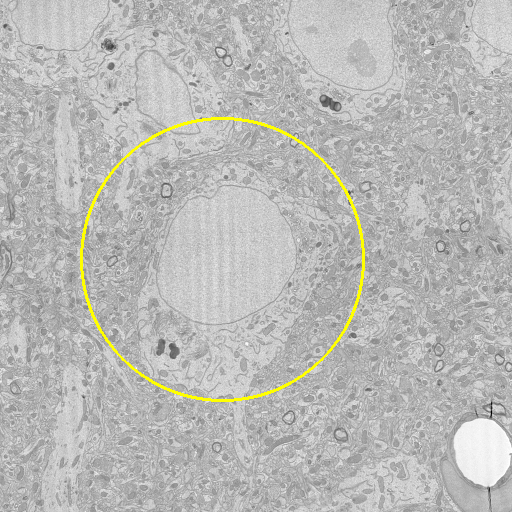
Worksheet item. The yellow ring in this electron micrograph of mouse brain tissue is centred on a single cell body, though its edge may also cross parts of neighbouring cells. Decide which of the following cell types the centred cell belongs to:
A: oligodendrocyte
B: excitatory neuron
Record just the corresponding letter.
B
